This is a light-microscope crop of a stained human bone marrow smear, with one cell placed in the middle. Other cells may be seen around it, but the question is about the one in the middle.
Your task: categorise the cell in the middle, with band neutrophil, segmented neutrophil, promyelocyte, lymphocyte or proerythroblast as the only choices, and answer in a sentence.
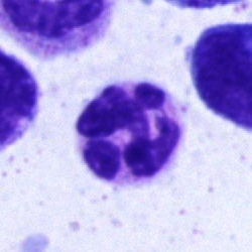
By type, the central cell of the crop is a segmented neutrophil.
